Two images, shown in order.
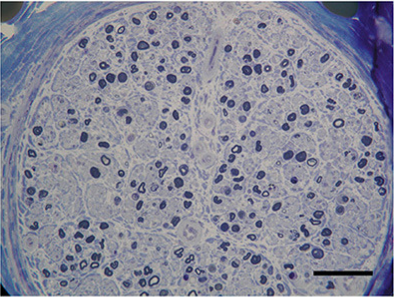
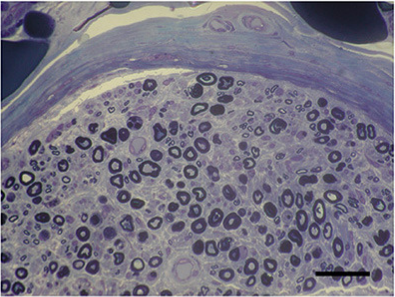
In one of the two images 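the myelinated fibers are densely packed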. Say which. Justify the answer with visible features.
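The second image. First image: dark fiber profiles are scattered, with broad pale spaces between them. Second image: ring-shaped dark fiber profiles crowd the fascicle close together.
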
